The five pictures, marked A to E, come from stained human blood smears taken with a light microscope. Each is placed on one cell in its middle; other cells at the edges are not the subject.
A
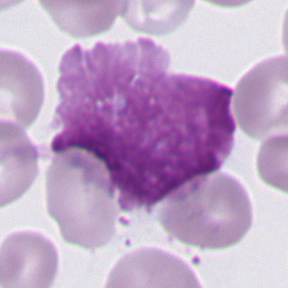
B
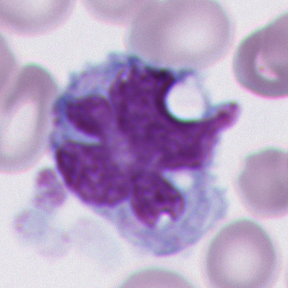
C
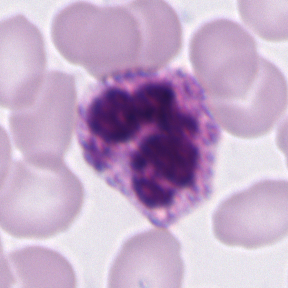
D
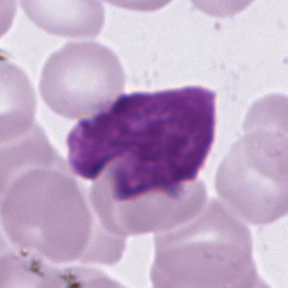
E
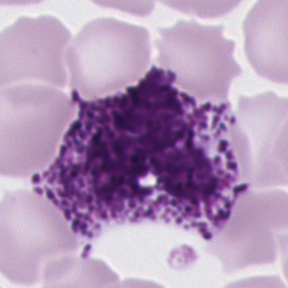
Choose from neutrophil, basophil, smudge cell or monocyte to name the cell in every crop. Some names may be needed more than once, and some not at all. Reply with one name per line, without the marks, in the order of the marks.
smudge cell
monocyte
basophil
smudge cell
basophil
